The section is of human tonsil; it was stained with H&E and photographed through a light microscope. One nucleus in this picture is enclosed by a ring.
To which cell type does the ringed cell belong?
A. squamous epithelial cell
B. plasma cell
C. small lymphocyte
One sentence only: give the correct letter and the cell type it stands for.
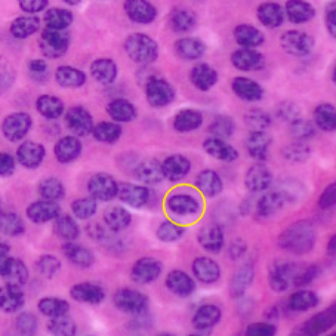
With the ringed cell being a plasma cell, option B is correct.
